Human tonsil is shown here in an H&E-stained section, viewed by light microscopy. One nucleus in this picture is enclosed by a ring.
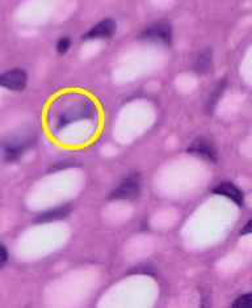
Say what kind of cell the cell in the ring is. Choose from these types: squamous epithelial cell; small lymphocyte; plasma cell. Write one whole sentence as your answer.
This is a squamous epithelial cell.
